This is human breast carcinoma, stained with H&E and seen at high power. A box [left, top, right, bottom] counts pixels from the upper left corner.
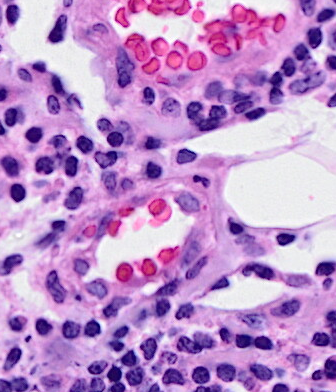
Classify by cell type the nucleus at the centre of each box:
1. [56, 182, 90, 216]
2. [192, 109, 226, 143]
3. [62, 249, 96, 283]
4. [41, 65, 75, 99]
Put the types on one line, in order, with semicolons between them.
lymphocyte; lymphocyte; endothelial cell; lymphocyte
